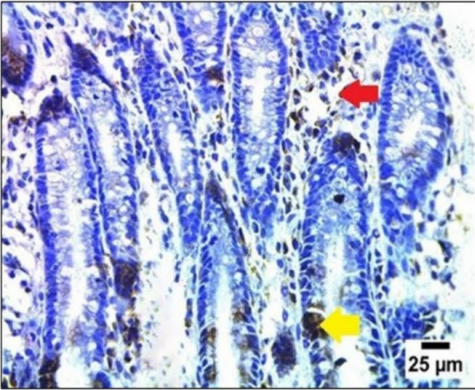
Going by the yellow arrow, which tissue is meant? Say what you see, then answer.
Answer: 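The arrow points at the wall of a glandular tube. The cells there are columnar, lined up in one layer along the tube. The spot is stained dark brown.
Answer: intestinal epithelium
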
